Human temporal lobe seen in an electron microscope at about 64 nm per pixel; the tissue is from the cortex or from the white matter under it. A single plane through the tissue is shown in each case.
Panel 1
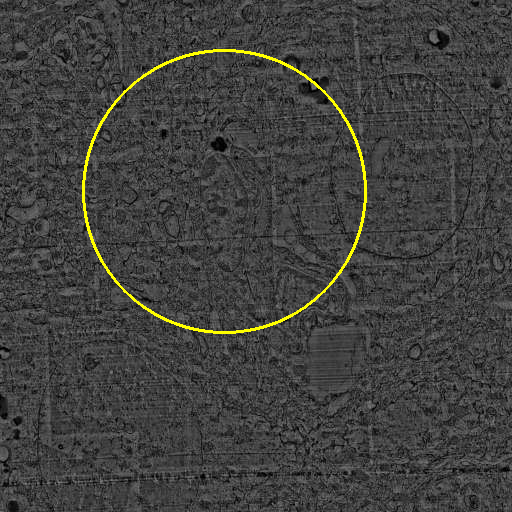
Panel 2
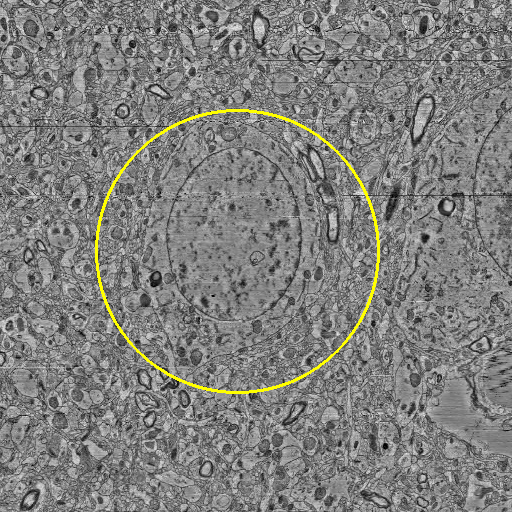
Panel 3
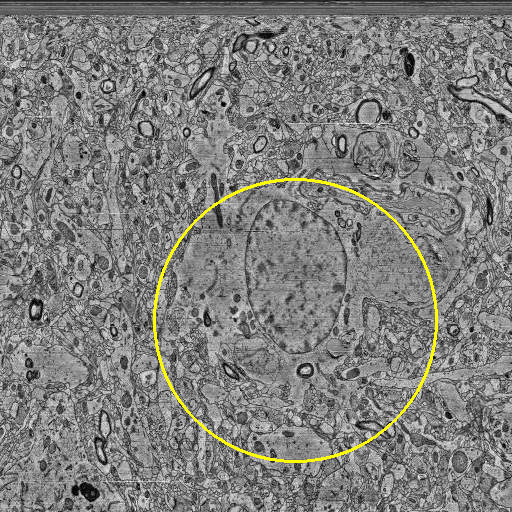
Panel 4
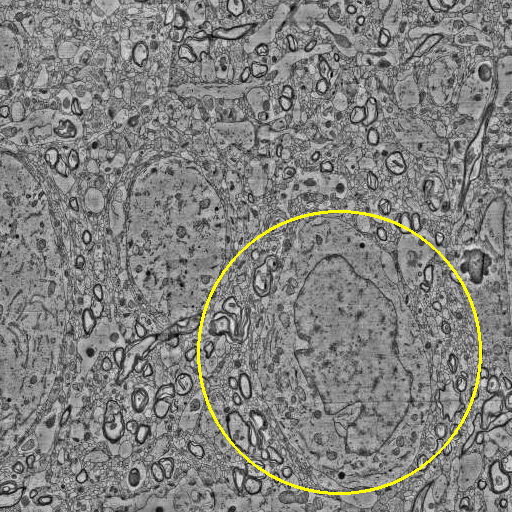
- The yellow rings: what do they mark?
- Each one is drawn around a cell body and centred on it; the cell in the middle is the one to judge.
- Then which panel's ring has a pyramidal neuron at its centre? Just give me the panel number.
2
